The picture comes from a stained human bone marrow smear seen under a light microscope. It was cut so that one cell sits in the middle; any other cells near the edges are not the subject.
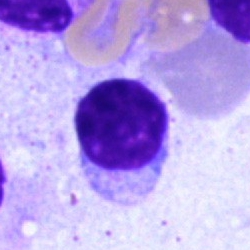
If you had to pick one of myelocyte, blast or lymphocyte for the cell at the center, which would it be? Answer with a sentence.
The crop's centre is taken up by a lymphocyte.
